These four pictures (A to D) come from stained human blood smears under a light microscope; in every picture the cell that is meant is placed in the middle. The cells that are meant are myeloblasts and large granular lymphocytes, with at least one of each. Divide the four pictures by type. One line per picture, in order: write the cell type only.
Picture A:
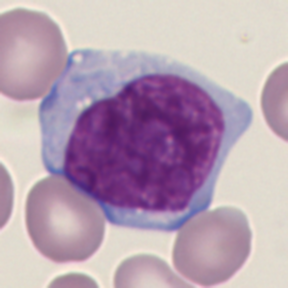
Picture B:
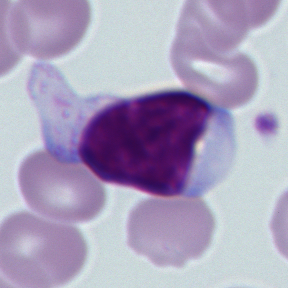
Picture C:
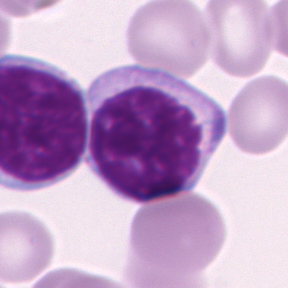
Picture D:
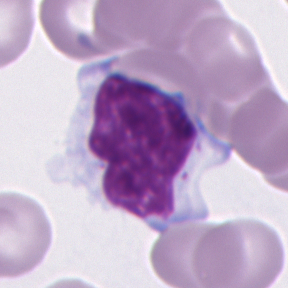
myeloblast
large granular lymphocyte
large granular lymphocyte
large granular lymphocyte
